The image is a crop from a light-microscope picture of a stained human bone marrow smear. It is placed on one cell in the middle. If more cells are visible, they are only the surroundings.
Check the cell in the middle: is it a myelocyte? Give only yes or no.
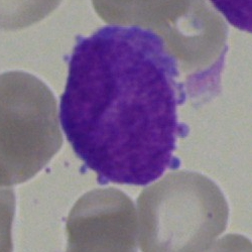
no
